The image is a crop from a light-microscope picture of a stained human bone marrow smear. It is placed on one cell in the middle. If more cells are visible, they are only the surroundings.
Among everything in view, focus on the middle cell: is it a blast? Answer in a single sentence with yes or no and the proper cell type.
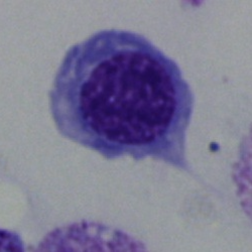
No, the cell sitting in the middle is an erythroblast, and it is not a blast.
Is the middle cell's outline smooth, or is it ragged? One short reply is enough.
The perimeter of the cell is irregular, with ragged sections or outward projections.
